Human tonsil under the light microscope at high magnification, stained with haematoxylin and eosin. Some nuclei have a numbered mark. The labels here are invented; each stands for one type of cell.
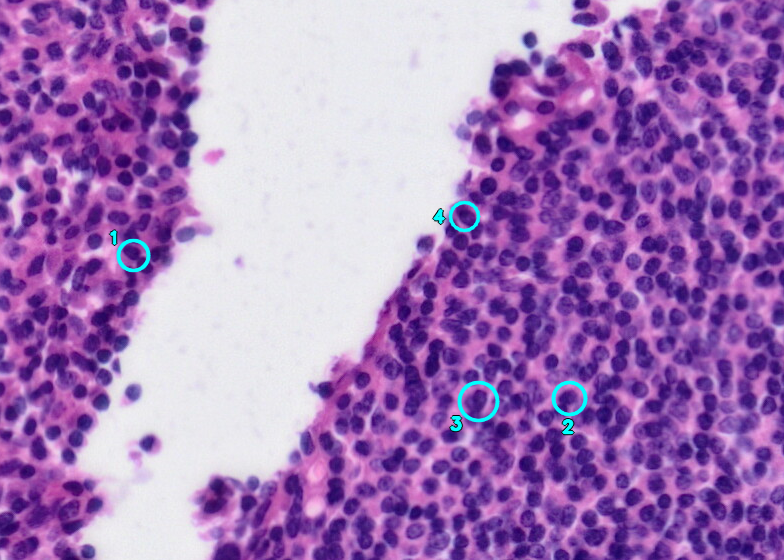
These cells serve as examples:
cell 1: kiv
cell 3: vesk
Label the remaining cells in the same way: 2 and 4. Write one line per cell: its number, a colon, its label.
2: vesk
4: vesk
